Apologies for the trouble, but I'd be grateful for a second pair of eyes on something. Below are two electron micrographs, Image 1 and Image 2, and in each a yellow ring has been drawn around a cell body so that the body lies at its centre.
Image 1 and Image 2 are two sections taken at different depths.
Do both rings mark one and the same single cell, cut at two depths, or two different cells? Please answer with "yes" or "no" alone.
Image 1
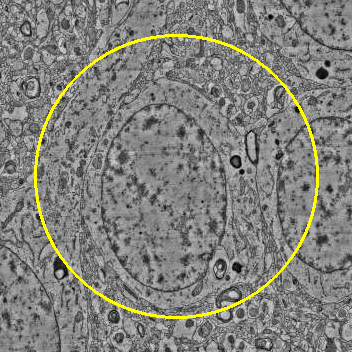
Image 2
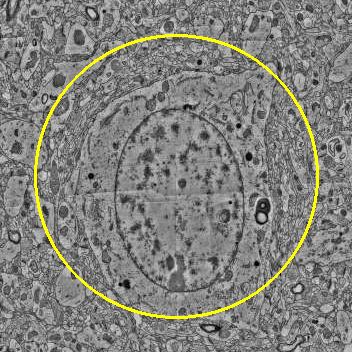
no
